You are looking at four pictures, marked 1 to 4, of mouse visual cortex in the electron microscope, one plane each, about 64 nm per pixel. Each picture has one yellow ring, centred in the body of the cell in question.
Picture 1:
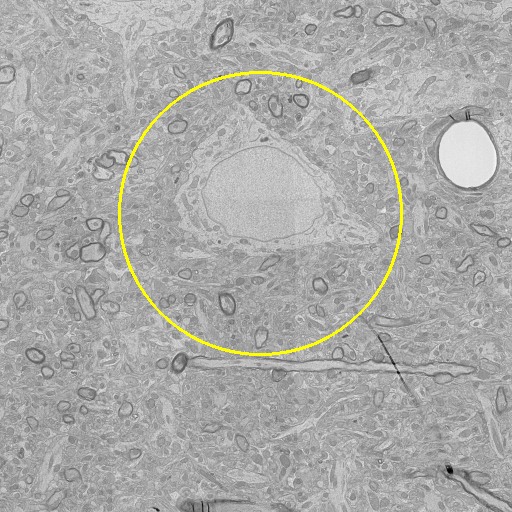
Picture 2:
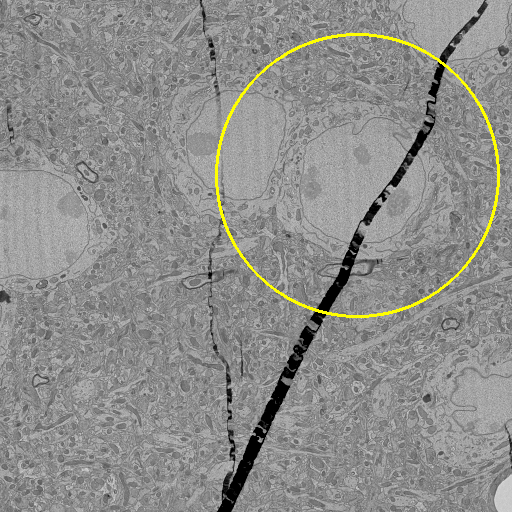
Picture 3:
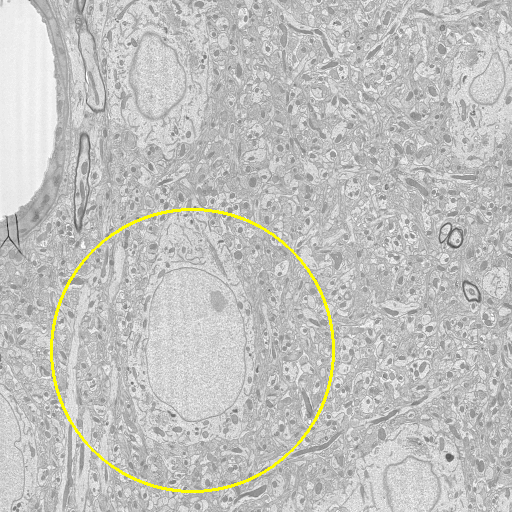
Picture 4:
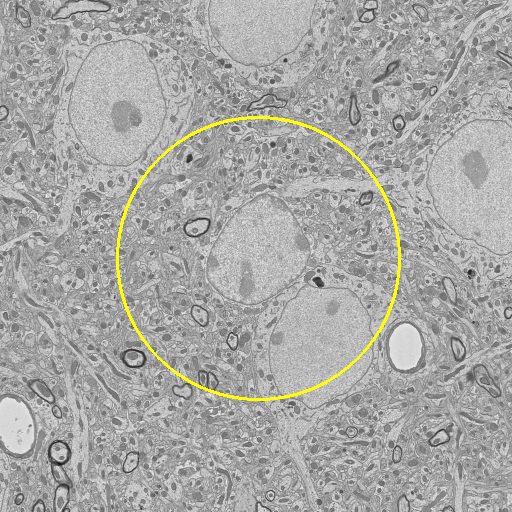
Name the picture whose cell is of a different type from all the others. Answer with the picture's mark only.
4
